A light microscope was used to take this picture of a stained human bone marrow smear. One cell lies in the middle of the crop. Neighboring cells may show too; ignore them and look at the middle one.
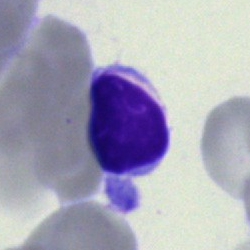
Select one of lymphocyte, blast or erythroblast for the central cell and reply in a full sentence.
The cell featured at the centre of this crop is a lymphocyte.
